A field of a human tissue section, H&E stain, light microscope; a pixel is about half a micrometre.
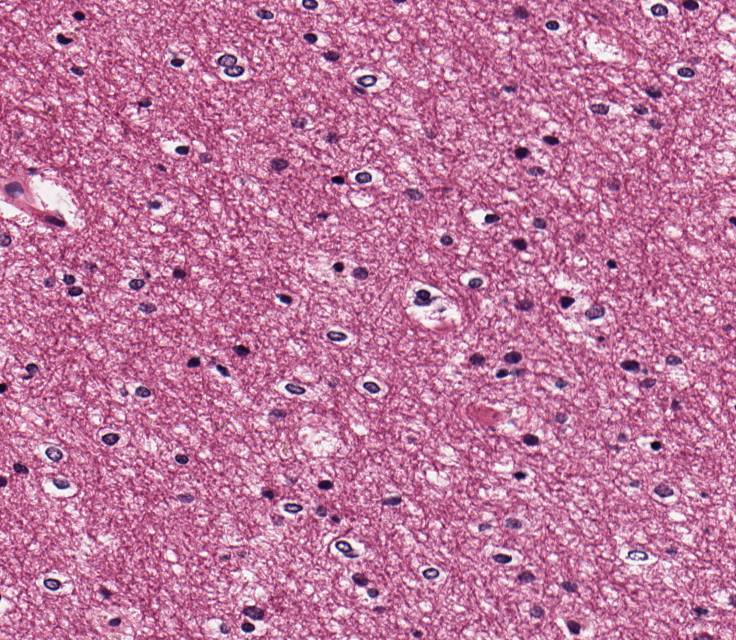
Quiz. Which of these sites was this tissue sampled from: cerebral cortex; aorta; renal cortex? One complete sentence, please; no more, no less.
Tissue for this slide was taken from the cerebral cortex.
